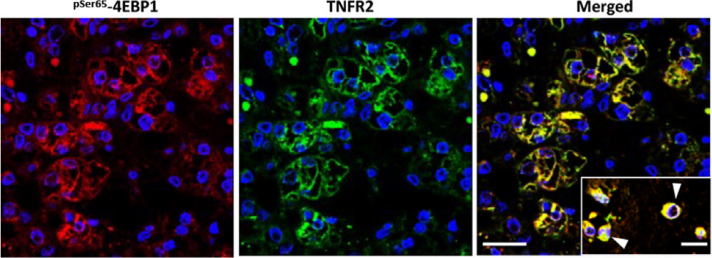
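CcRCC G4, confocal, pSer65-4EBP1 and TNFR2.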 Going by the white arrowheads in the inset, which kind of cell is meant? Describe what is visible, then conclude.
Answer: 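The arrowheads point to small rounded cells. These cells are much smaller than the large polygonal cells of the main image. Their nuclei fill most of each cell, ringed by yellow.
Infiltrating cells.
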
